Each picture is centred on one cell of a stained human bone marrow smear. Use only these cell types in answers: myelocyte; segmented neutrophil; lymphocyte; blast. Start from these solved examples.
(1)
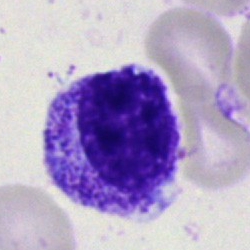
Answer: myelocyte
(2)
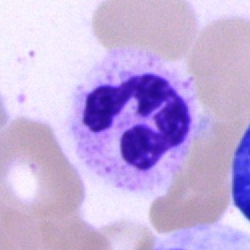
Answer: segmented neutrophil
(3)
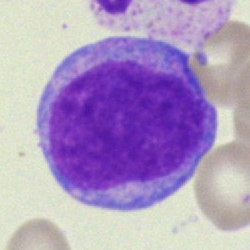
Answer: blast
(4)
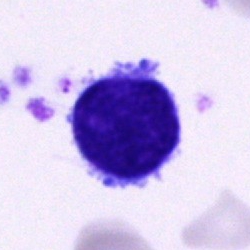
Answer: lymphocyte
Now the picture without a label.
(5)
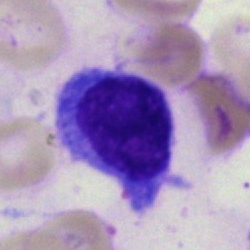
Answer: lymphocyte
